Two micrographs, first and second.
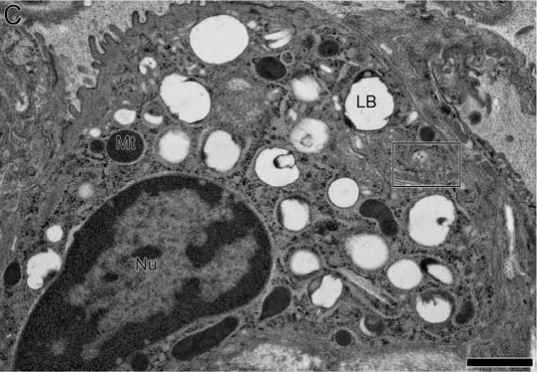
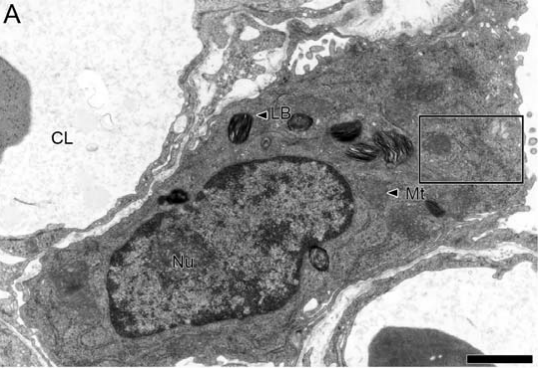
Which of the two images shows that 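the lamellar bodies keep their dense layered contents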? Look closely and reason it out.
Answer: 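First image: the round bodies are mostly white and empty, with only a rim and small remnants. Second image: the bodies are dark with stacked lamellar contents. That points to this answer: the second image.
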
